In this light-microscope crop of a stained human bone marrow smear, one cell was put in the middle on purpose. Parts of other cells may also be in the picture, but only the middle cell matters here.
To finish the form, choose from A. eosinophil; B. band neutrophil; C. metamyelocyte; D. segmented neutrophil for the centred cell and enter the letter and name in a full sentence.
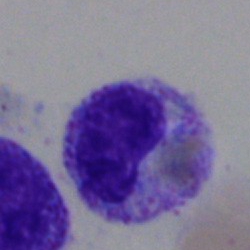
Located in the middle of the crop is a metamyelocyte, and option C is therefore correct.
